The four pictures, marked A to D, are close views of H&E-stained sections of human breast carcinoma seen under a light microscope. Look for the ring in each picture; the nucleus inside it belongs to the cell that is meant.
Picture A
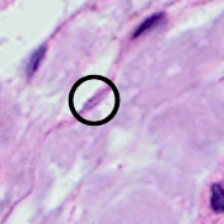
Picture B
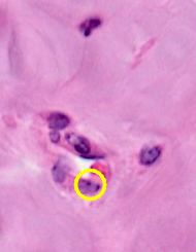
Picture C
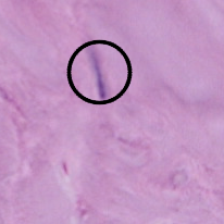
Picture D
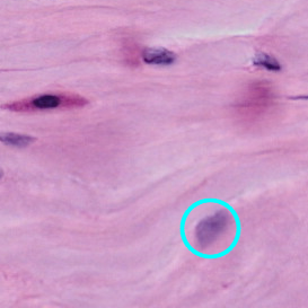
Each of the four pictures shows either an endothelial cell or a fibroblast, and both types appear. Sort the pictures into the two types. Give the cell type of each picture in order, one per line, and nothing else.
fibroblast
endothelial cell
fibroblast
fibroblast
